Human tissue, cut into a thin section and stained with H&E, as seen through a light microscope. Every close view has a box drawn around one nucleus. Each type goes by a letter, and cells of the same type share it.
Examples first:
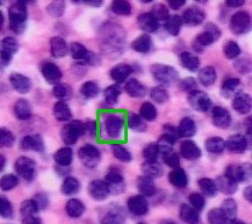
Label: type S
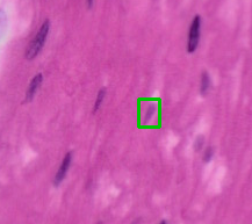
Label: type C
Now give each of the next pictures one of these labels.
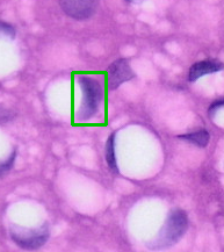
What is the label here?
type C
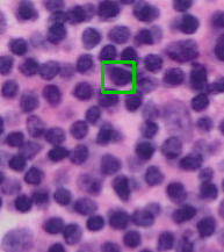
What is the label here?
type S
